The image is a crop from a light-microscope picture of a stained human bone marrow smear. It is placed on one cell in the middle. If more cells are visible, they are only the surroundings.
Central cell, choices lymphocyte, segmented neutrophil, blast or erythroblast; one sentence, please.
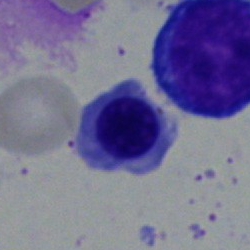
The cell the crop is centered on is an erythroblast.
